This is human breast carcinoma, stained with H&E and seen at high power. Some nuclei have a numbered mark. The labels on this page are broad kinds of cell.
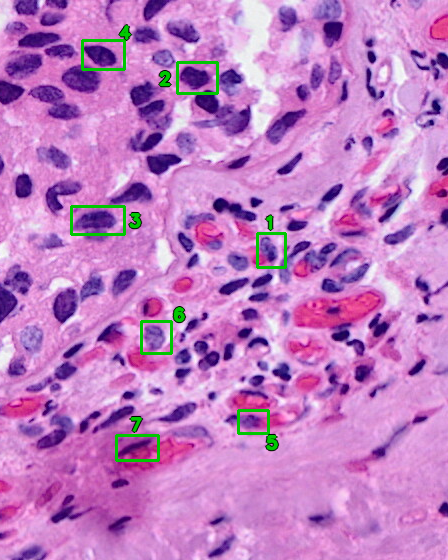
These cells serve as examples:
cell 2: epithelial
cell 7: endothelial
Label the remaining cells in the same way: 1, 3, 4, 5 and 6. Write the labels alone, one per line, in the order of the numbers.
endothelial
epithelial
epithelial
endothelial
endothelial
